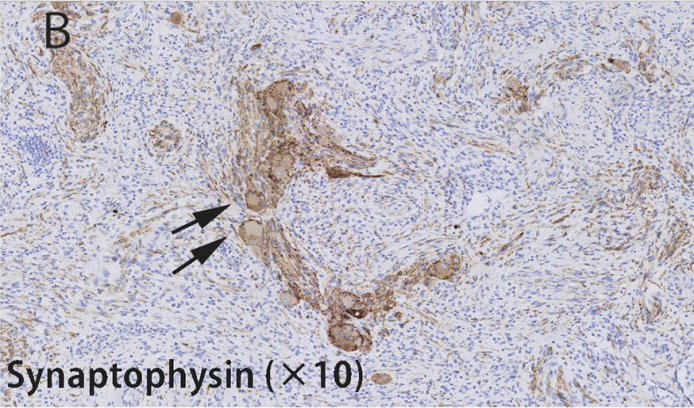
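This section shows ganglion cells stained brown within a pale blue counterstained background of spindle-shaped cells. The large rounded ganglion cells have brown cytoplasm and sit in a branching band of brown-stained elongated elements. Most of the surrounding spindle cells show only blue nuclei with little or no brown colour.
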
